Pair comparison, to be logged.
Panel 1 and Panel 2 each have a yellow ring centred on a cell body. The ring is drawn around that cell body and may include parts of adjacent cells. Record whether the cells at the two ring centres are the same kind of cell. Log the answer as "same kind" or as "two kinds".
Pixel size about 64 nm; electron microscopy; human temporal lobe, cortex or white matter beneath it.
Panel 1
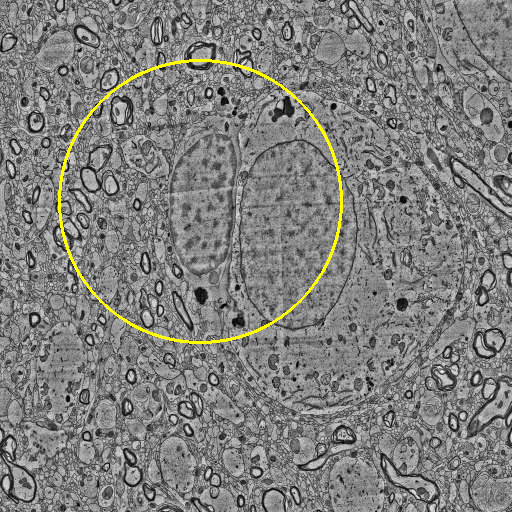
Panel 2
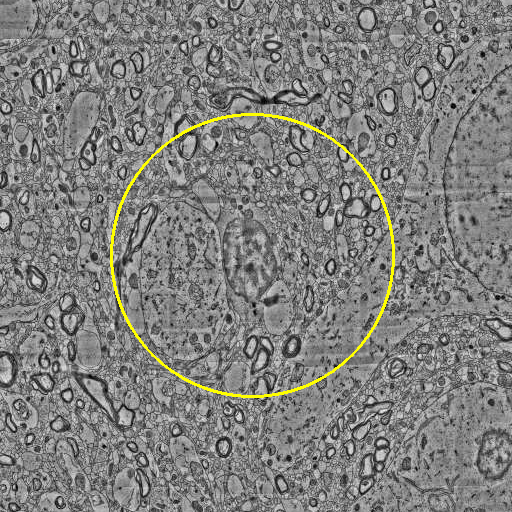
same kind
